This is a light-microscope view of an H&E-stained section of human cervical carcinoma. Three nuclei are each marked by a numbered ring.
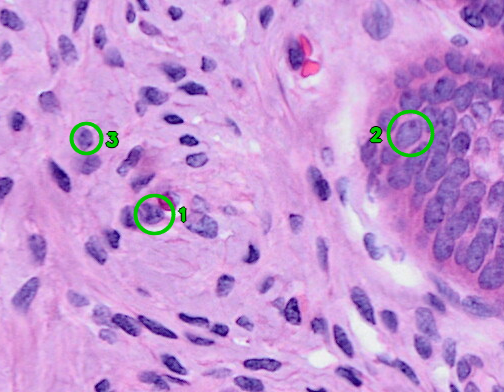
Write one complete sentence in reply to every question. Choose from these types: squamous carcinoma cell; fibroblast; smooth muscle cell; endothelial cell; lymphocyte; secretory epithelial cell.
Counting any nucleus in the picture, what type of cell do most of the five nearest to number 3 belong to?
Fibroblasts account for more than half of the five nuclei nearest to number 3.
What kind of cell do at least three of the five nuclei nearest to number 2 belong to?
Secretory epithelial cells make up most of the five nuclei closest to number 2.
